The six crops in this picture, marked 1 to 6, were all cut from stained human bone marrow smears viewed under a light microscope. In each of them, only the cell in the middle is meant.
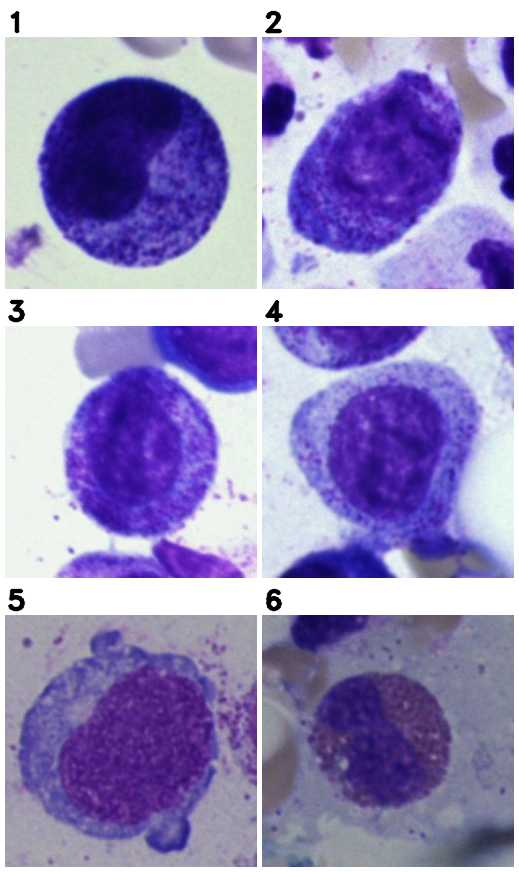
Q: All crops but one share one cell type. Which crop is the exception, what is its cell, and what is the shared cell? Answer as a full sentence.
Unlike the other crops, which all show promyelocytes, crop 6 is an eosinophil.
